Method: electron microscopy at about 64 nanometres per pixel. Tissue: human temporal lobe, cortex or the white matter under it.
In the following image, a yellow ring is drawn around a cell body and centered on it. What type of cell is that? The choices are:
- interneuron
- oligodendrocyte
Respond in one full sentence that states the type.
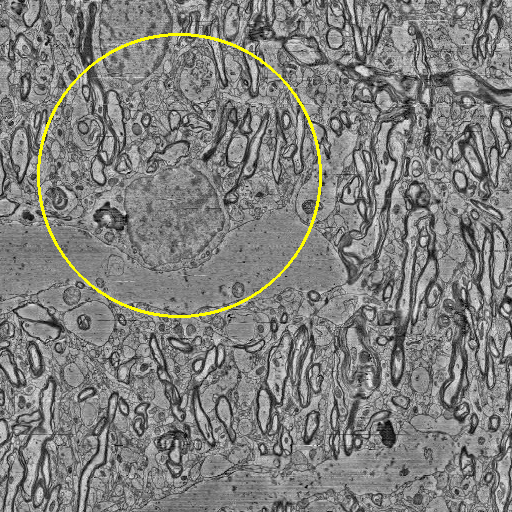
The cell at the center of the yellow ring in the image is an oligodendrocyte.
